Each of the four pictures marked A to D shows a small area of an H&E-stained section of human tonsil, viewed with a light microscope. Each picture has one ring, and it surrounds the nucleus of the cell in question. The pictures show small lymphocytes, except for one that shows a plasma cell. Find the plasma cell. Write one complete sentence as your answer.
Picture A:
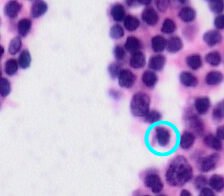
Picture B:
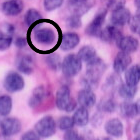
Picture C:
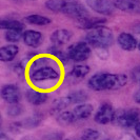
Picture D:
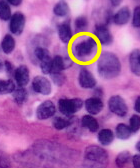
The picture with the plasma cell is C.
